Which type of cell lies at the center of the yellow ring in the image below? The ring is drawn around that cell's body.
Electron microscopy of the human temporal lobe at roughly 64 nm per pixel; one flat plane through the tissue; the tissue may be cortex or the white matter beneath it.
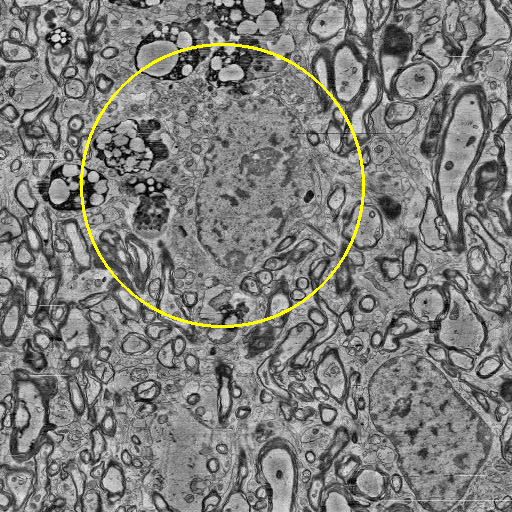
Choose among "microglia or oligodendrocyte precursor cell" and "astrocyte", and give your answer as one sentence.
The cell body at the center belongs to an astrocyte.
